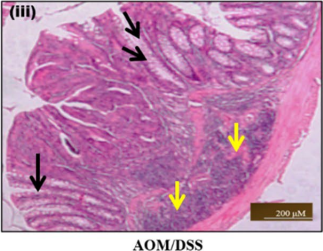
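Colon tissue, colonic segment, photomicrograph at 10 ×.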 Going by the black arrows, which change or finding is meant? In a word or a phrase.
Crypt distortion.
